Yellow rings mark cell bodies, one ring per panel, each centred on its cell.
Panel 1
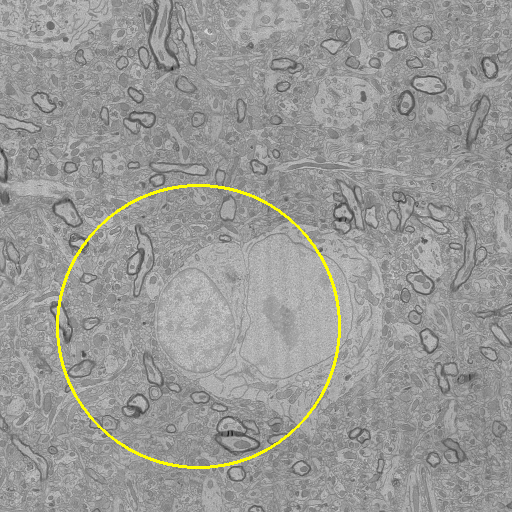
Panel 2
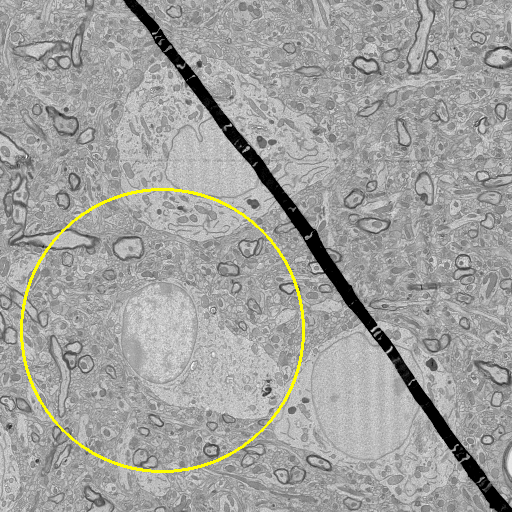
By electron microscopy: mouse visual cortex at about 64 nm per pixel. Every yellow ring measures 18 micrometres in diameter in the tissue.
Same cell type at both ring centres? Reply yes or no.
yes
